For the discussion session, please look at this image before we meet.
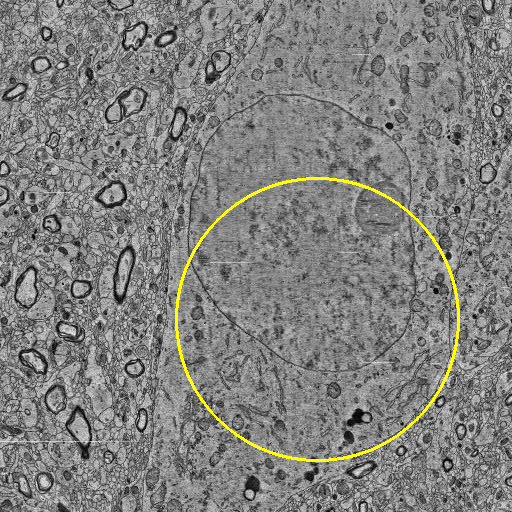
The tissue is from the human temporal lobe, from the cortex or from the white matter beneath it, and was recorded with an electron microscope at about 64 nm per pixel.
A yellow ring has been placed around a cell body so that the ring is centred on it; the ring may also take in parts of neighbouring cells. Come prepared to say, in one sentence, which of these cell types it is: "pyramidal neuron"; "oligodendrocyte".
The cell centred in the ring is a pyramidal neuron.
